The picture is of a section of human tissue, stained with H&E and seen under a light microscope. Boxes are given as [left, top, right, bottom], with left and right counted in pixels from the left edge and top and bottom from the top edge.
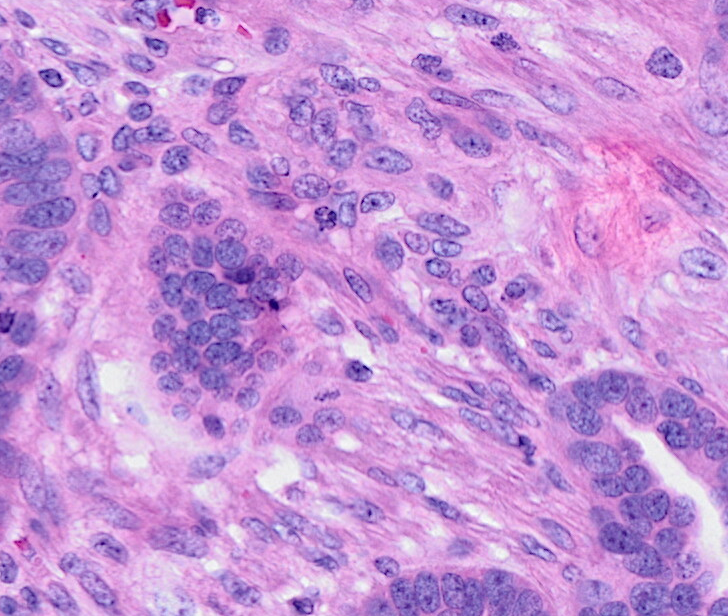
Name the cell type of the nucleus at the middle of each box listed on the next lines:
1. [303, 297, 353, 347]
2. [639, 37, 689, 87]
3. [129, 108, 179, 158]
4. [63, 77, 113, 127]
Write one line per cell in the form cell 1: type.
cell 1: fibroblast
cell 2: macrophage or monocyte
cell 3: endothelial cell
cell 4: fibroblast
